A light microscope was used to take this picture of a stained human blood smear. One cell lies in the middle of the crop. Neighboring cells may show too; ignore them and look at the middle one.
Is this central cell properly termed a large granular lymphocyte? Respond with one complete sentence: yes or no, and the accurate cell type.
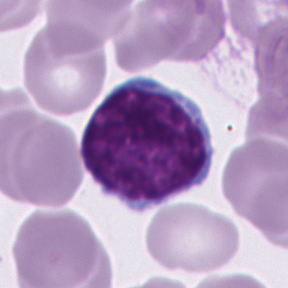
No, the centre cell is not a large granular lymphocyte but a typical lymphocyte.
